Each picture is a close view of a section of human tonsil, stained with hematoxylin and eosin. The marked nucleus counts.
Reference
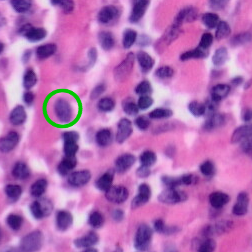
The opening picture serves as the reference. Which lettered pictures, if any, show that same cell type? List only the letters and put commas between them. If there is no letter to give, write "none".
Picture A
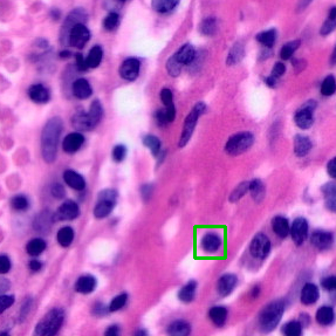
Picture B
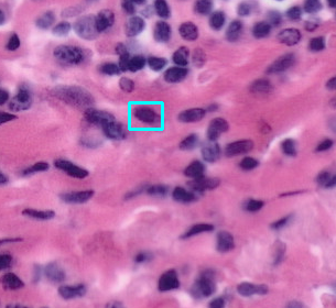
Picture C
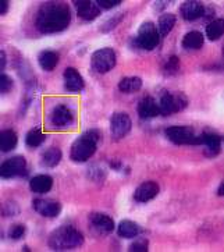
A, B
